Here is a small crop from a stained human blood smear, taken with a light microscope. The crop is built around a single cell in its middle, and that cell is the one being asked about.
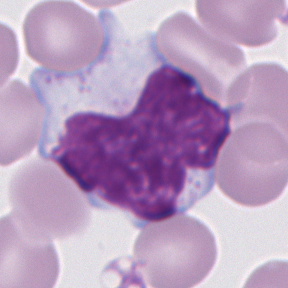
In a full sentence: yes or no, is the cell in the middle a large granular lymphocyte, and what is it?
Yes, the cell in the exact middle is a large granular lymphocyte.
